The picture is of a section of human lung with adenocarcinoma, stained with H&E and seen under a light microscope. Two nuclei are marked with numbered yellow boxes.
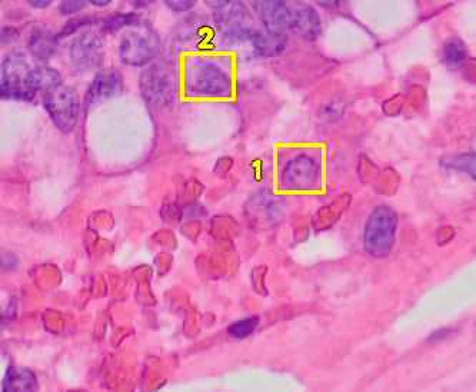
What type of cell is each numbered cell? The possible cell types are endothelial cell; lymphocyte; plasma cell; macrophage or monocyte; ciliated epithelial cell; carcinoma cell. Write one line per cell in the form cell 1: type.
cell 1: macrophage or monocyte
cell 2: ciliated epithelial cell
